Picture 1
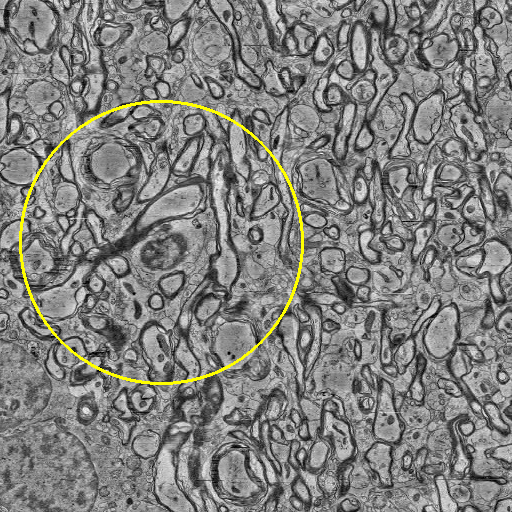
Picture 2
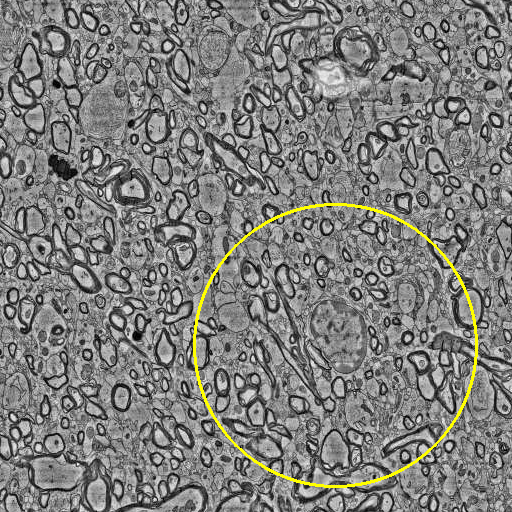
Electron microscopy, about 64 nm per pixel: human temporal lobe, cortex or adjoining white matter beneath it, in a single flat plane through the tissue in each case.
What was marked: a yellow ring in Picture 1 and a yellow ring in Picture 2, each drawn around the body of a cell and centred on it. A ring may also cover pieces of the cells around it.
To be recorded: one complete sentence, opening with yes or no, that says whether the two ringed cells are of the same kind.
Yes, the two ringed cells are of the same kind.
